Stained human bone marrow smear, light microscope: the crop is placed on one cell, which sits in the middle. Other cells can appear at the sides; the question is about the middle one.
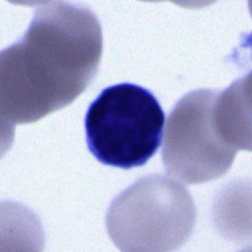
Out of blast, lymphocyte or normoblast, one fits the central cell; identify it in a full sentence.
At the crop's centre, the cell is a lymphocyte.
